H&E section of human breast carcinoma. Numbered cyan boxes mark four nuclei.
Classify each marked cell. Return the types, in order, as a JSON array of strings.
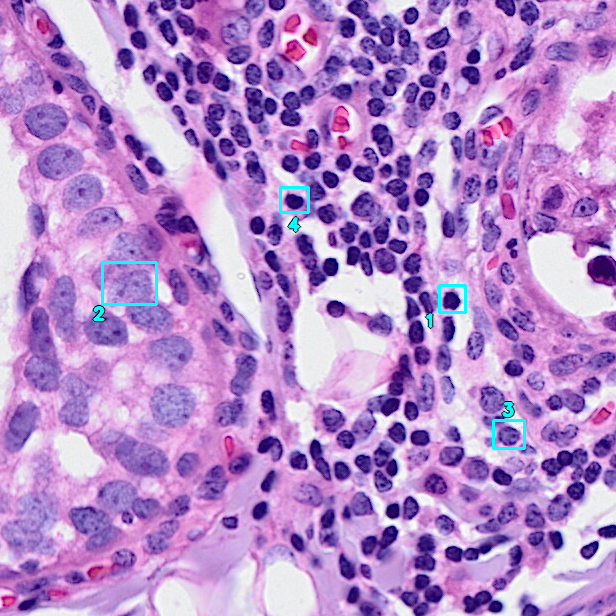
["lymphocyte", "carcinoma cell", "lymphocyte", "lymphocyte"]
